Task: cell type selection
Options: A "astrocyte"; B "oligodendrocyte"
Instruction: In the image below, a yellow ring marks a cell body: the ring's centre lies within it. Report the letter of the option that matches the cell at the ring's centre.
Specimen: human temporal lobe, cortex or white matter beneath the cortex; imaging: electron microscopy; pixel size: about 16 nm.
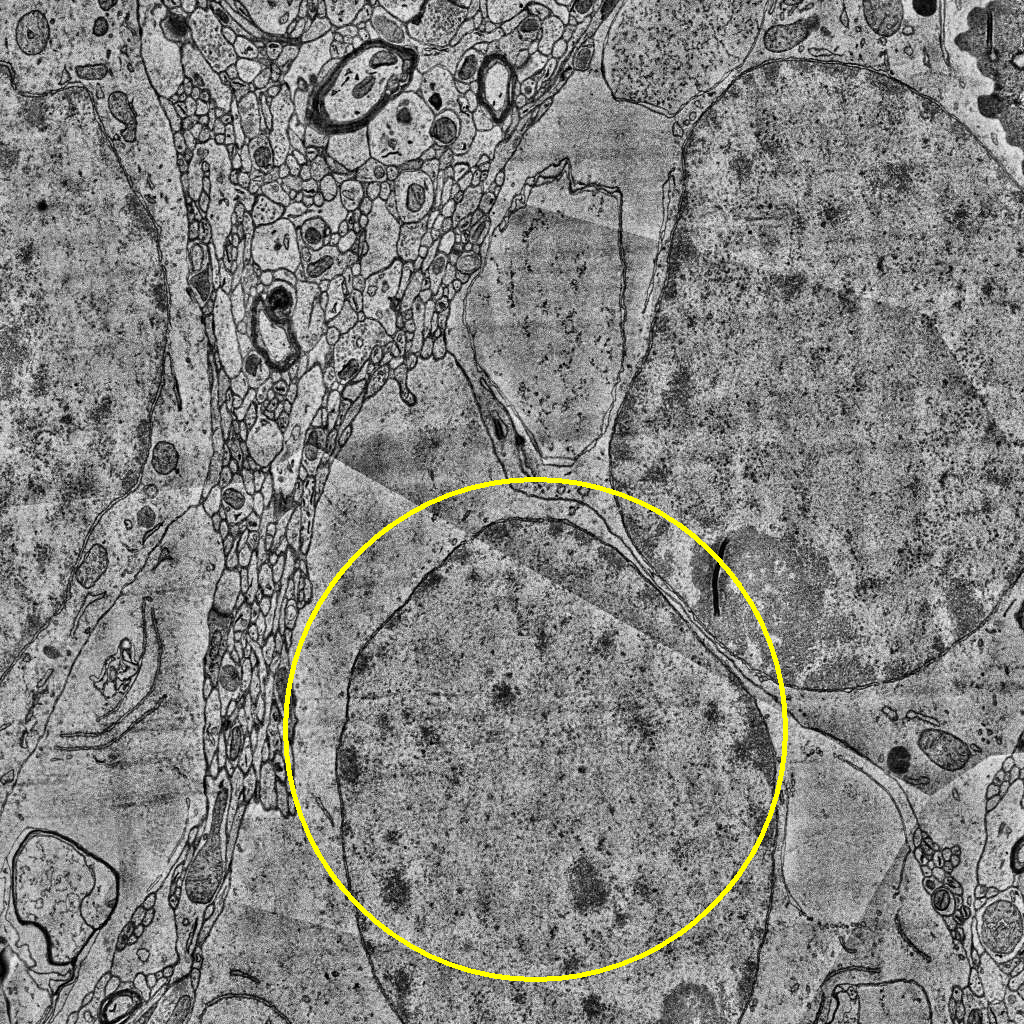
A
